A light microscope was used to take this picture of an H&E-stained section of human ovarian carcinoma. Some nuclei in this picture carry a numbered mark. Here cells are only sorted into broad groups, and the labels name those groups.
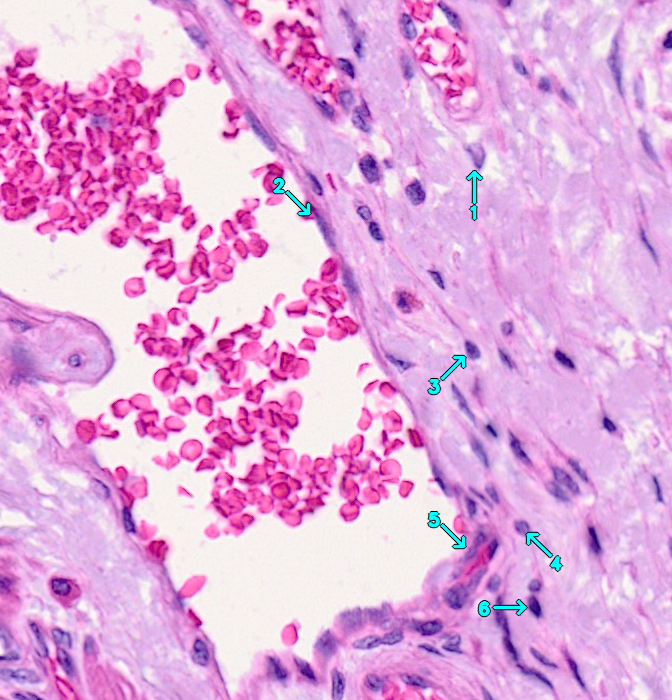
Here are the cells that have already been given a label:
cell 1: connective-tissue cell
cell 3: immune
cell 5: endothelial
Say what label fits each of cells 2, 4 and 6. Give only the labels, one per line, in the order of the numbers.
endothelial
immune
immune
